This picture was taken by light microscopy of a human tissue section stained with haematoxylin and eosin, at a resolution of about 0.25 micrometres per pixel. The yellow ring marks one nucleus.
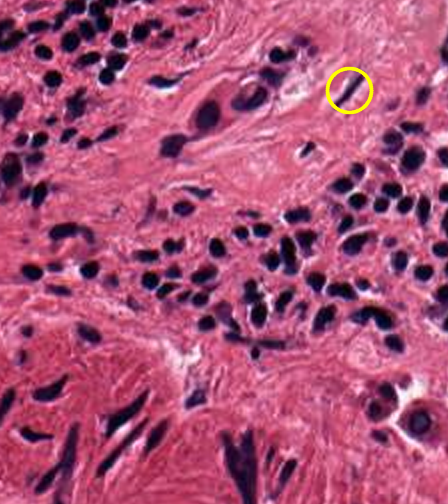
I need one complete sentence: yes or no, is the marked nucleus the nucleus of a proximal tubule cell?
No, it is a supporting cell whose nucleus is marked, not a proximal tubule cell.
